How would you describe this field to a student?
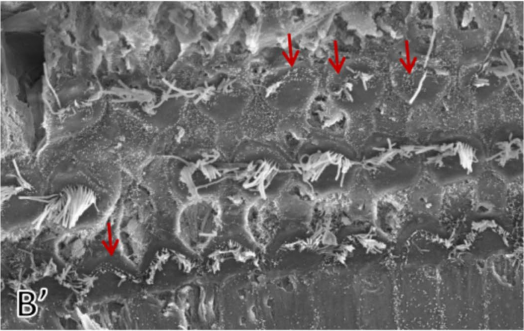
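This is the sensory surface of the cochlea where the rows of outer hair cells should lie, but the regular pattern is largely broken. The surface is uneven, with irregular cell outlines and torn-looking sheets. Only scattered remnants of stereocilia remain, often displaced, lying askew or reduced to a few strands. Many positions along the rows carry no hair bundle at all. This appearance fits severe degeneration of outer hair cells with displacement and loss of their cilia.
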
